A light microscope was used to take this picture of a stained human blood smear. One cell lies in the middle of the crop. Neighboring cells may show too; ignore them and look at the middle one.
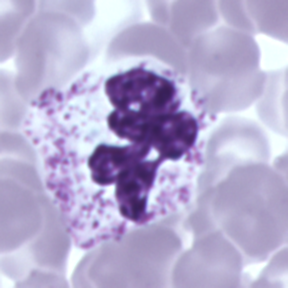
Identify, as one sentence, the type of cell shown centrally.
In this smear crop, the middle cell is a segmented neutrophil.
